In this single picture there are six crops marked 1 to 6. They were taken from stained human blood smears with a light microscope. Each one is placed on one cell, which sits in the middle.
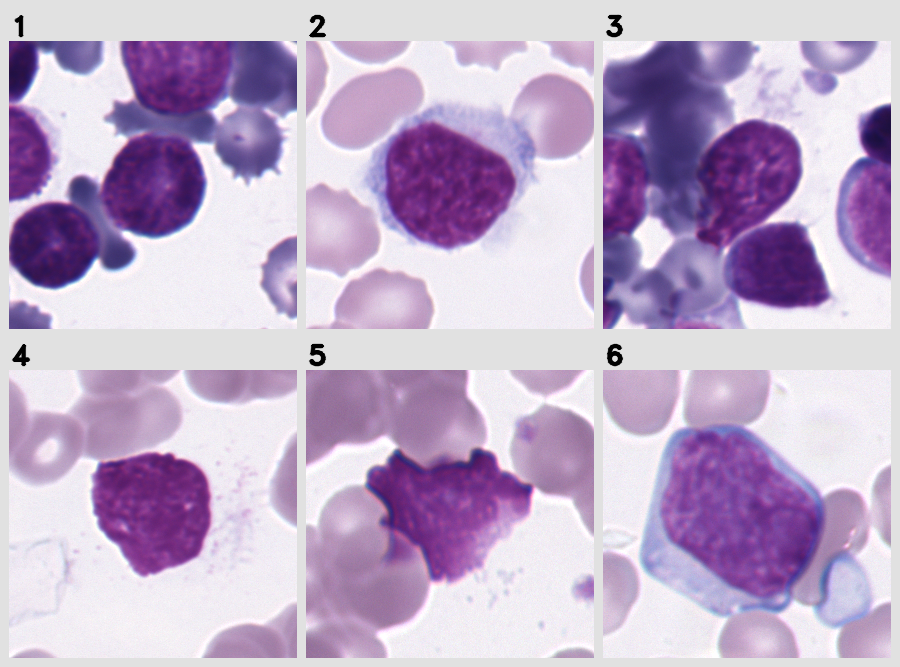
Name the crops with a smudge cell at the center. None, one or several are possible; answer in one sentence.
The crops marked 3, 4 and 5 contain smudge cells at the centre.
